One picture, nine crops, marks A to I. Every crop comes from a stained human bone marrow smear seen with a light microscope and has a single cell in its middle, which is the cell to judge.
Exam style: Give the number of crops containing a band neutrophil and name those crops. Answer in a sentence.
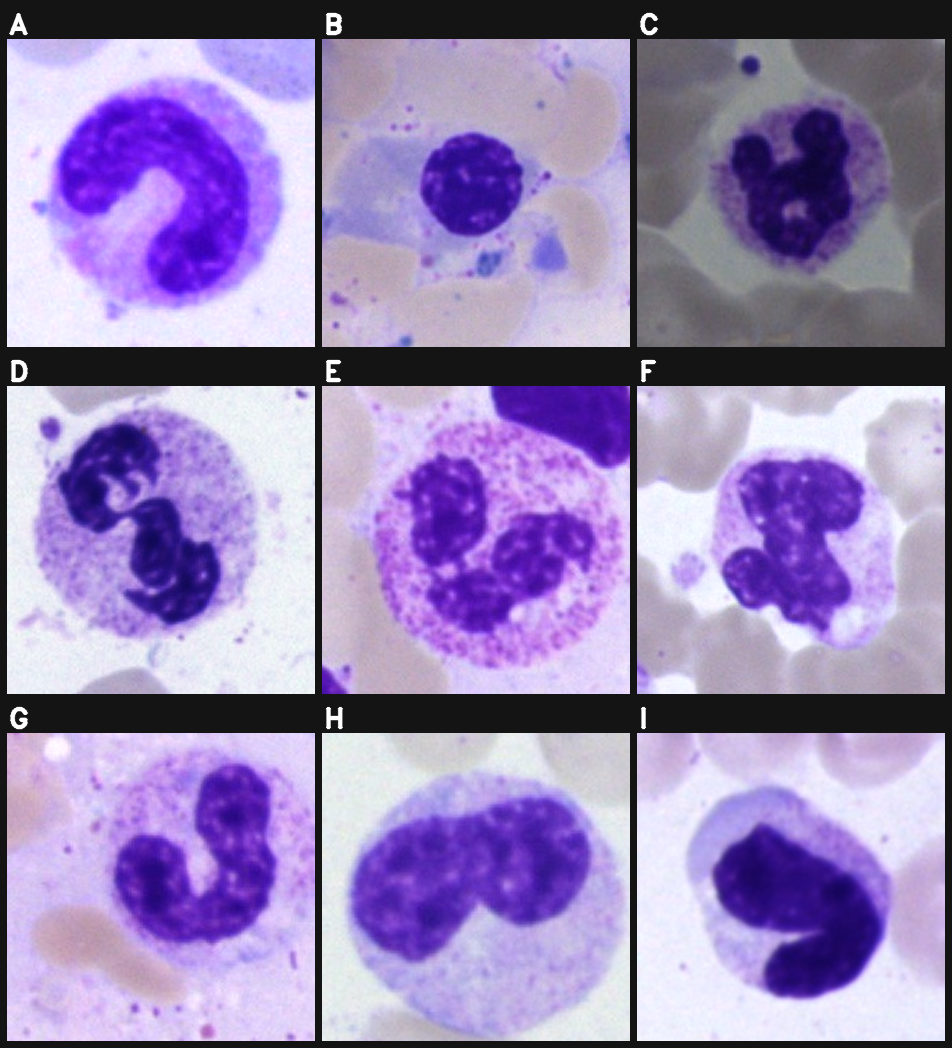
Here is the count: four crops show band neutrophils, namely A, G, H and I.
